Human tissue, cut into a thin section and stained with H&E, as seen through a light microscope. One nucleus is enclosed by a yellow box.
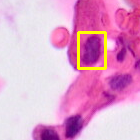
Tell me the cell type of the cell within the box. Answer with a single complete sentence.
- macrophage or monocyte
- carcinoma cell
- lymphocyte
The cell within the box appears to be a macrophage or monocyte.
